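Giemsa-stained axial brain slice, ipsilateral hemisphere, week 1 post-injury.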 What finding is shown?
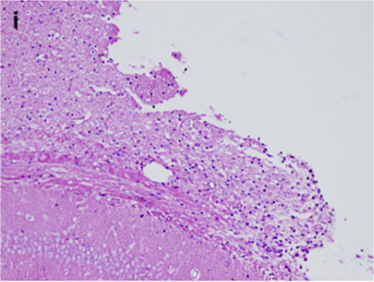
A: Cavitation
